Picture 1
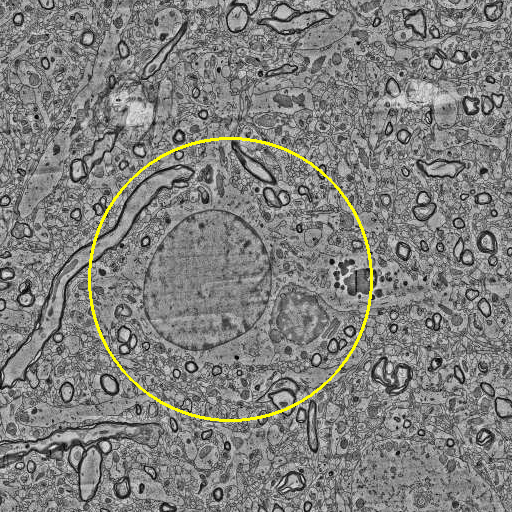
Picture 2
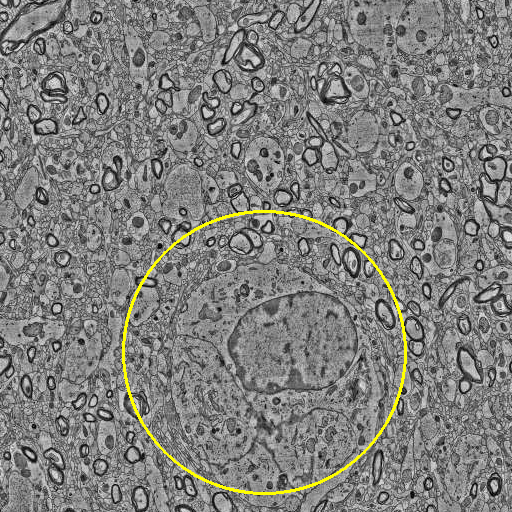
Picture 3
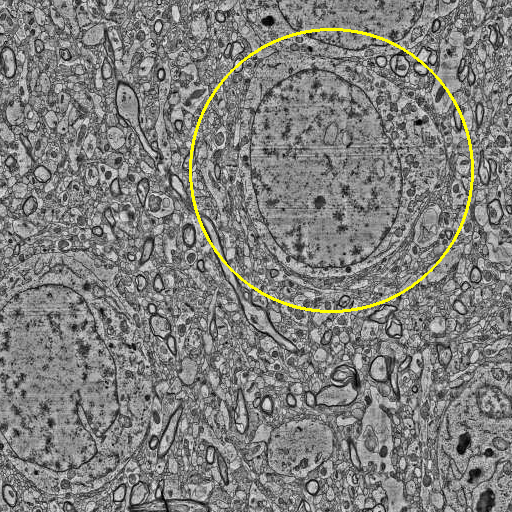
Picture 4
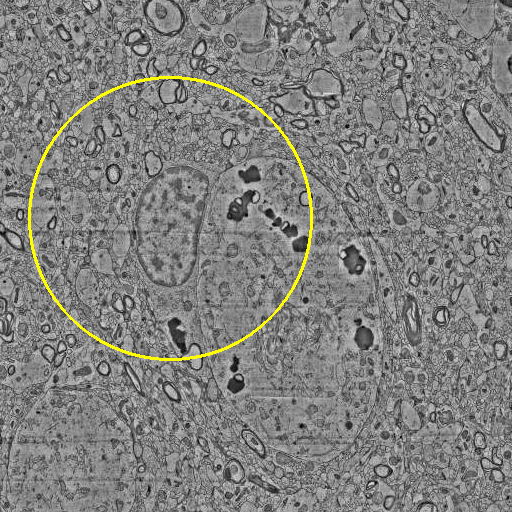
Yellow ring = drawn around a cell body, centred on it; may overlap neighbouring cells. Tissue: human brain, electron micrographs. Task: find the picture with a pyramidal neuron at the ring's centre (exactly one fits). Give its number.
3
